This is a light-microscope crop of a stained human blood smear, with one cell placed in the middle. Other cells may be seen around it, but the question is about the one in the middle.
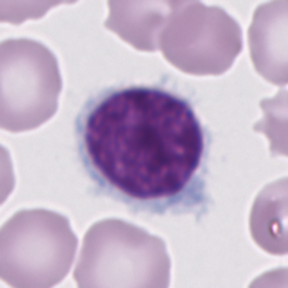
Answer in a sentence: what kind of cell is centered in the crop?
For this crop, the cell in the middle is a hairy cell.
